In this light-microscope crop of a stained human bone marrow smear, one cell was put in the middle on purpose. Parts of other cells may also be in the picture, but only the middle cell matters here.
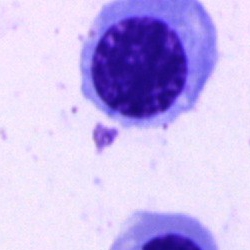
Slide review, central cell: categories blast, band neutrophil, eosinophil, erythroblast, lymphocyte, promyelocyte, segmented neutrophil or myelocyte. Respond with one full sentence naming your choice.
By type, the central cell of the crop is an erythroblast.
